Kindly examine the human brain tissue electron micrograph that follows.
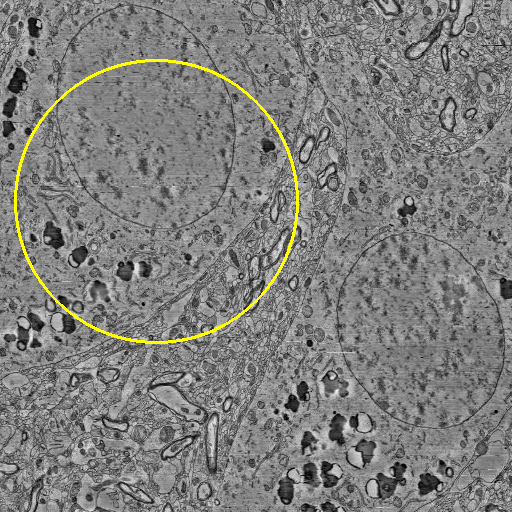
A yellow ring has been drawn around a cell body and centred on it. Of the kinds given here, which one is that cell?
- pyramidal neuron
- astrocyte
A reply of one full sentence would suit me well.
The micrograph's ringed cell, the one at the ring's centre, is a pyramidal neuron.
